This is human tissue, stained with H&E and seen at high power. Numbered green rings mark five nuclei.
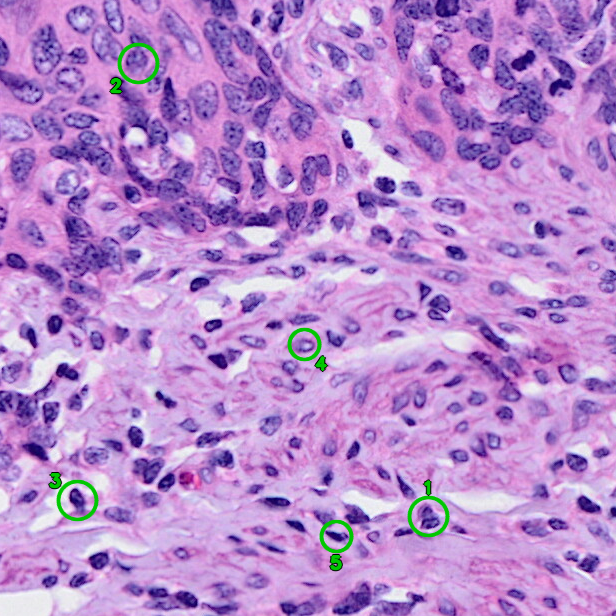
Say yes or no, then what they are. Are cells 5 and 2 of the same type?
No, cell 5 is a lymphocyte and cell 2 is a squamous carcinoma cell.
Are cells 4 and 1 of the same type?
No, cell 4 is a smooth muscle cell and cell 1 is a lymphocyte.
